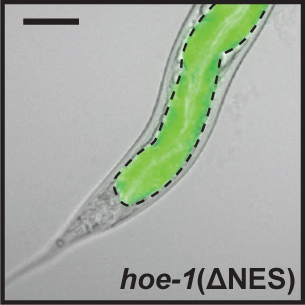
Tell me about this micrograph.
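Hind part of a nematode in brightfield with green fluorescence overlay. The intestine, outlined by a dashed line, runs as a bright green tube along the curving body and stops before the tail. The tapering tail behind it shows no green.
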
